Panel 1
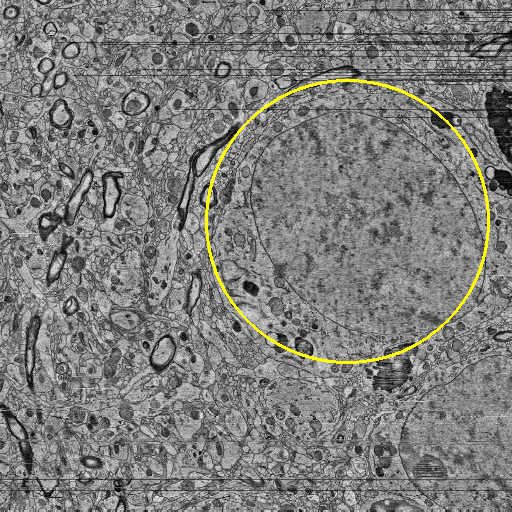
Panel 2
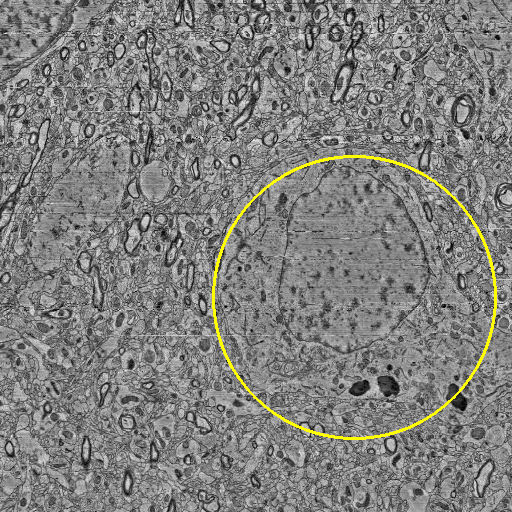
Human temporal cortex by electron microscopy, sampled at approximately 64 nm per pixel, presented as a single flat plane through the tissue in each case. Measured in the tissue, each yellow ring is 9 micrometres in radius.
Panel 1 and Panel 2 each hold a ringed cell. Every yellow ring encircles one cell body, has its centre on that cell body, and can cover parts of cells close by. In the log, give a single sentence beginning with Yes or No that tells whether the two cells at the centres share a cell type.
Yes, in Panel 1 and Panel 2 the centred cells share a cell type.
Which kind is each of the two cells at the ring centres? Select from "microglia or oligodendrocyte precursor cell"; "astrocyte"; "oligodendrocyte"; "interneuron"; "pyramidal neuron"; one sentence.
In the first picture and in the second, the ring is centred on a pyramidal neuron.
